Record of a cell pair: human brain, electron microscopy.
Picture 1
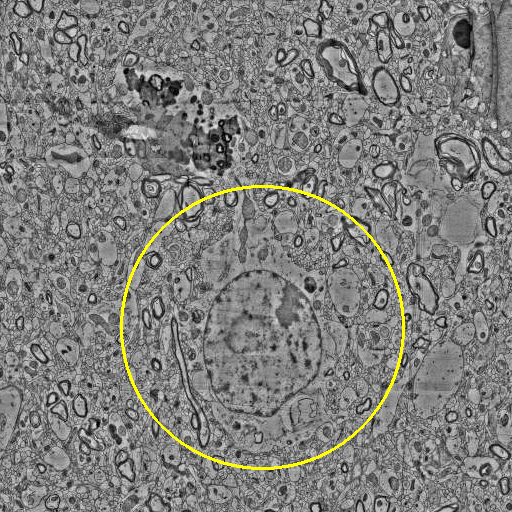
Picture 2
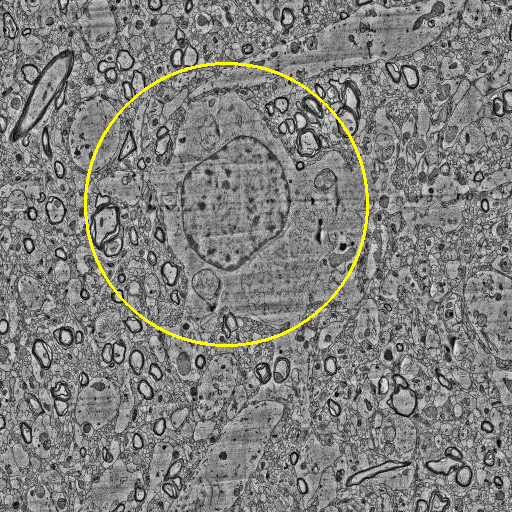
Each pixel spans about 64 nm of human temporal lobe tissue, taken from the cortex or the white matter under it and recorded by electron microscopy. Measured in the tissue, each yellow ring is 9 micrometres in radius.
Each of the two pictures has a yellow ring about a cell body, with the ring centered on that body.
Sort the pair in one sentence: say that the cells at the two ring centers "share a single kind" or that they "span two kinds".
The cells centered in the rings of Pictures 1 and 2 share a single kind.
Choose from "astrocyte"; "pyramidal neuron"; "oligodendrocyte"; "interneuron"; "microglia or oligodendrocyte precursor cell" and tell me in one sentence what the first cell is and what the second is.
Each cell at the centre of a ring is an astrocyte.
